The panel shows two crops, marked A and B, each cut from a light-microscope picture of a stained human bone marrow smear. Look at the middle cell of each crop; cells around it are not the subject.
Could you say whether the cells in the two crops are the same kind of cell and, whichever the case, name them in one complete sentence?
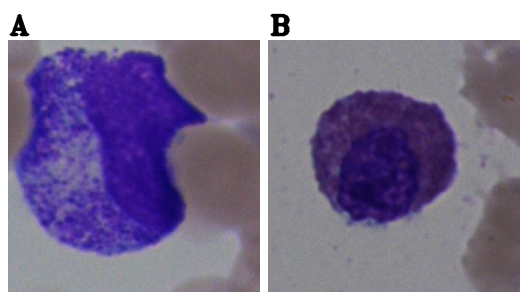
No, a metamyelocyte is the cell in crop A; an eosinophil is the cell in crop B.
